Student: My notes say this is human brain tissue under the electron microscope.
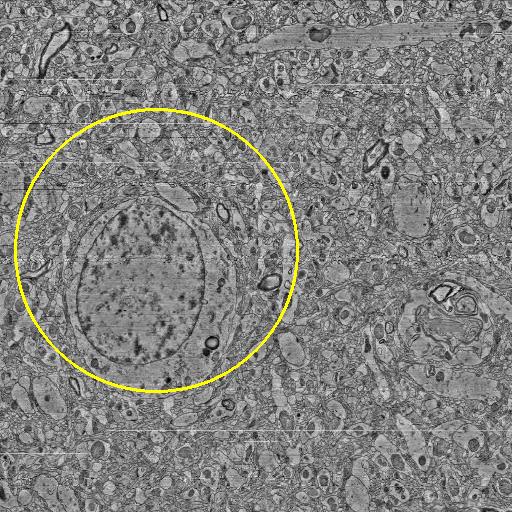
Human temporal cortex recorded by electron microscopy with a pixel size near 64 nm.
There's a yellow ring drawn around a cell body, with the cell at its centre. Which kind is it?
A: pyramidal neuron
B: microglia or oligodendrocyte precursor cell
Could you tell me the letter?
A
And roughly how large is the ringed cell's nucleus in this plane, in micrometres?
In this plane, approximately 11 by 8 micrometers.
